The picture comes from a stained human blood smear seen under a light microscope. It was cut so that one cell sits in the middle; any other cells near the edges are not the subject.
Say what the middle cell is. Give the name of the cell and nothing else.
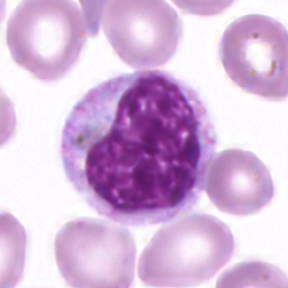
metamyelocyte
